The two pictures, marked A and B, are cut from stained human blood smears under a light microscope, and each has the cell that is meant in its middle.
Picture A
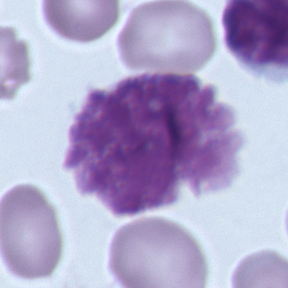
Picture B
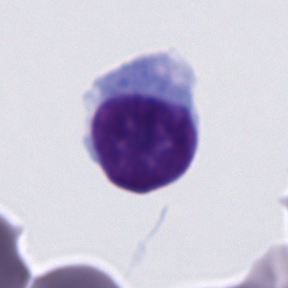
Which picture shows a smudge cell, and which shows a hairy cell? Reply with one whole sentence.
Picture A shows a smudge cell and picture B shows a hairy cell.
